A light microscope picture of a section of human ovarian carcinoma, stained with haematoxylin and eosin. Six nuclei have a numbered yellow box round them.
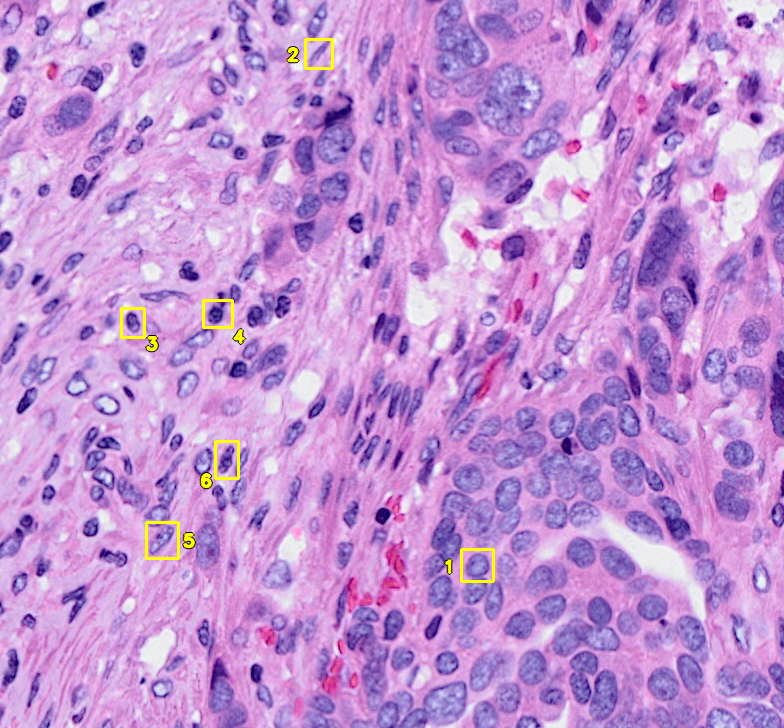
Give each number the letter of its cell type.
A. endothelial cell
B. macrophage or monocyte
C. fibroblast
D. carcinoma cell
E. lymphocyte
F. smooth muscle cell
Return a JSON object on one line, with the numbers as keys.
{"1": "D", "2": "C", "3": "E", "4": "E", "5": "C", "6": "E"}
